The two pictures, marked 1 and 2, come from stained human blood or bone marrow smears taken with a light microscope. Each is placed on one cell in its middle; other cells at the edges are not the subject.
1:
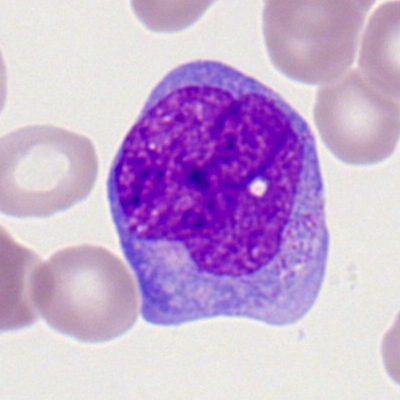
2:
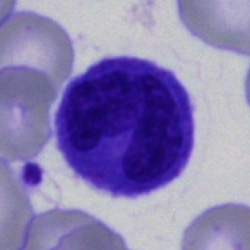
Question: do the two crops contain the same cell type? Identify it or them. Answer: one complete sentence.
Yes, the cells under consideration in both crops are monocytes.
